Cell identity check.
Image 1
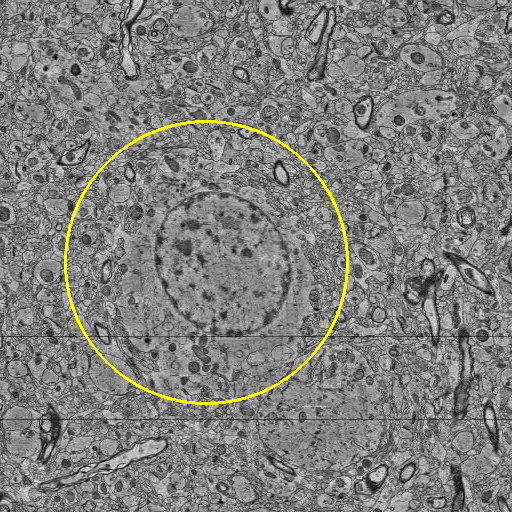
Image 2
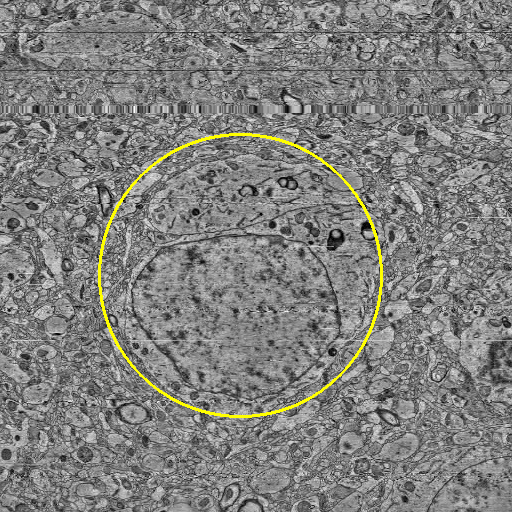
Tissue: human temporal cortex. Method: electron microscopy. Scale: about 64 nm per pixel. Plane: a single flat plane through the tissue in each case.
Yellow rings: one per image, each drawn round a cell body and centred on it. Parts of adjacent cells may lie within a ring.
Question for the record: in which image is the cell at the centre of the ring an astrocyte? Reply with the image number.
1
